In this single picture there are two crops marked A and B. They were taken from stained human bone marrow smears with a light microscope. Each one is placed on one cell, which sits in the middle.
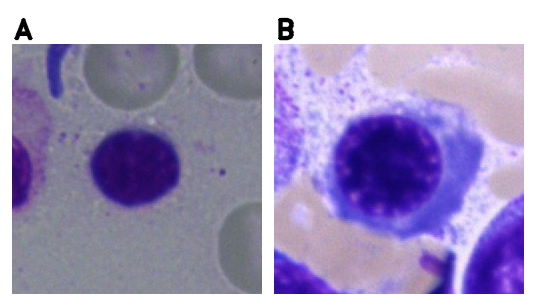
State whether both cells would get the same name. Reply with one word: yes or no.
no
